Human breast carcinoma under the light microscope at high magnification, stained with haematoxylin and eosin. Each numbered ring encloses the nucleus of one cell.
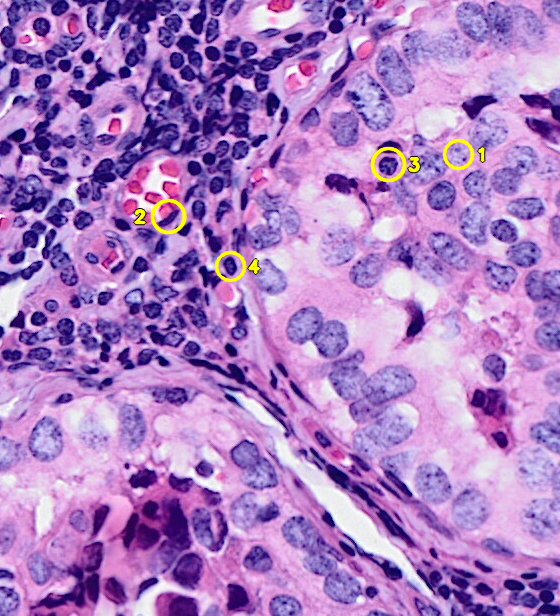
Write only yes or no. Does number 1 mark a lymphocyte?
no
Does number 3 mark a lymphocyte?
yes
